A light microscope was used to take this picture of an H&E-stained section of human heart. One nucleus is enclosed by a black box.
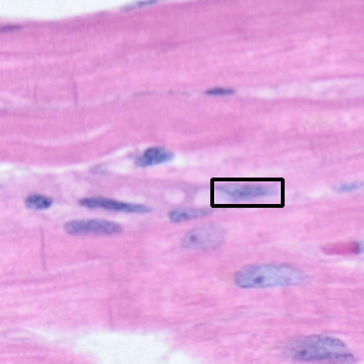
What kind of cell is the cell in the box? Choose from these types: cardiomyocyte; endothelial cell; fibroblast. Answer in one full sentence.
As to its cell type, the cell in the box is an endothelial cell.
